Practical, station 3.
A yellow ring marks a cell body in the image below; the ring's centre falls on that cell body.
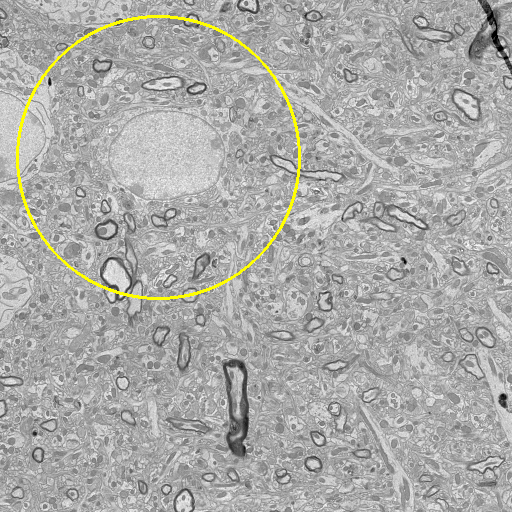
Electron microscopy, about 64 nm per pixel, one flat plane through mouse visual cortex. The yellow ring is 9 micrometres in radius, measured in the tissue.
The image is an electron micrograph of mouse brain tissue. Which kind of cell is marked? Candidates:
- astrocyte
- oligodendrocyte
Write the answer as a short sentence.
The marked cell body is that of an astrocyte.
